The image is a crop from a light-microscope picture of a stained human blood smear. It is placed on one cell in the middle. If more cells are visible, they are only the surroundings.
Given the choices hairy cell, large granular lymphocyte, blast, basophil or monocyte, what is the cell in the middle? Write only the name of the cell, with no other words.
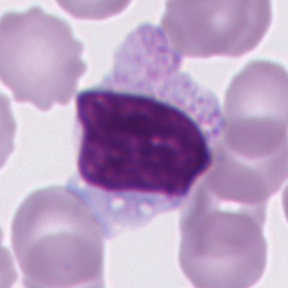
large granular lymphocyte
